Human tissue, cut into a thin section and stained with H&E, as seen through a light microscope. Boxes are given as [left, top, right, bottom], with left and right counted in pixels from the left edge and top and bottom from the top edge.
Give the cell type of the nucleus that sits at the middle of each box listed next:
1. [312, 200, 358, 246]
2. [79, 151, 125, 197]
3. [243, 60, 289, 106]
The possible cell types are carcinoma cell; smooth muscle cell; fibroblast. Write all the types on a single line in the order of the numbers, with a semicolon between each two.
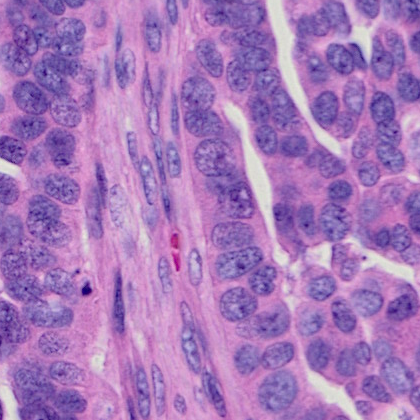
carcinoma cell; fibroblast; carcinoma cell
